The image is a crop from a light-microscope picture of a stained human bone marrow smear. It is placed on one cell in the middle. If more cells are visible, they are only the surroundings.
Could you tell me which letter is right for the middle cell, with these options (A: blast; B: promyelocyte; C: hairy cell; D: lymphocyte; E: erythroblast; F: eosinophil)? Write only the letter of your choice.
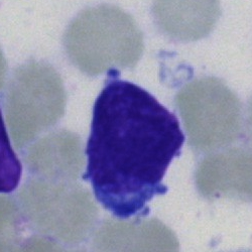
A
